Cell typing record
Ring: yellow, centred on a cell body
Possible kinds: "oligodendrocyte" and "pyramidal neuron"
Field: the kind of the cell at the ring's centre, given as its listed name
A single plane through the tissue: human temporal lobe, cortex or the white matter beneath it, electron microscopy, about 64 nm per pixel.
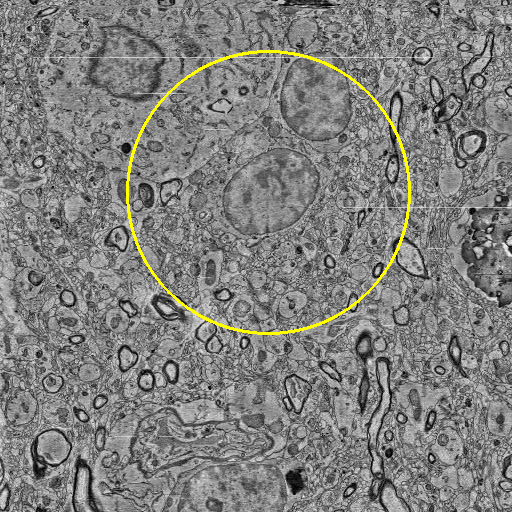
oligodendrocyte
